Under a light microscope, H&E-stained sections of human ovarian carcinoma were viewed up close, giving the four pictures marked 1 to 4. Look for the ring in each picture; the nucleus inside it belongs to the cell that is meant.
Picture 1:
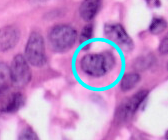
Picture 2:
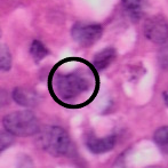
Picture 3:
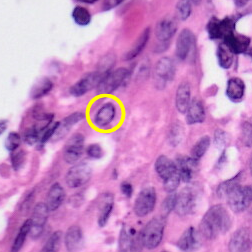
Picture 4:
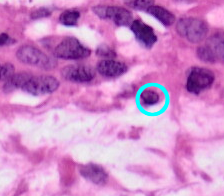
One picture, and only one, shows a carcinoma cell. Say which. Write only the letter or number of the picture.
2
